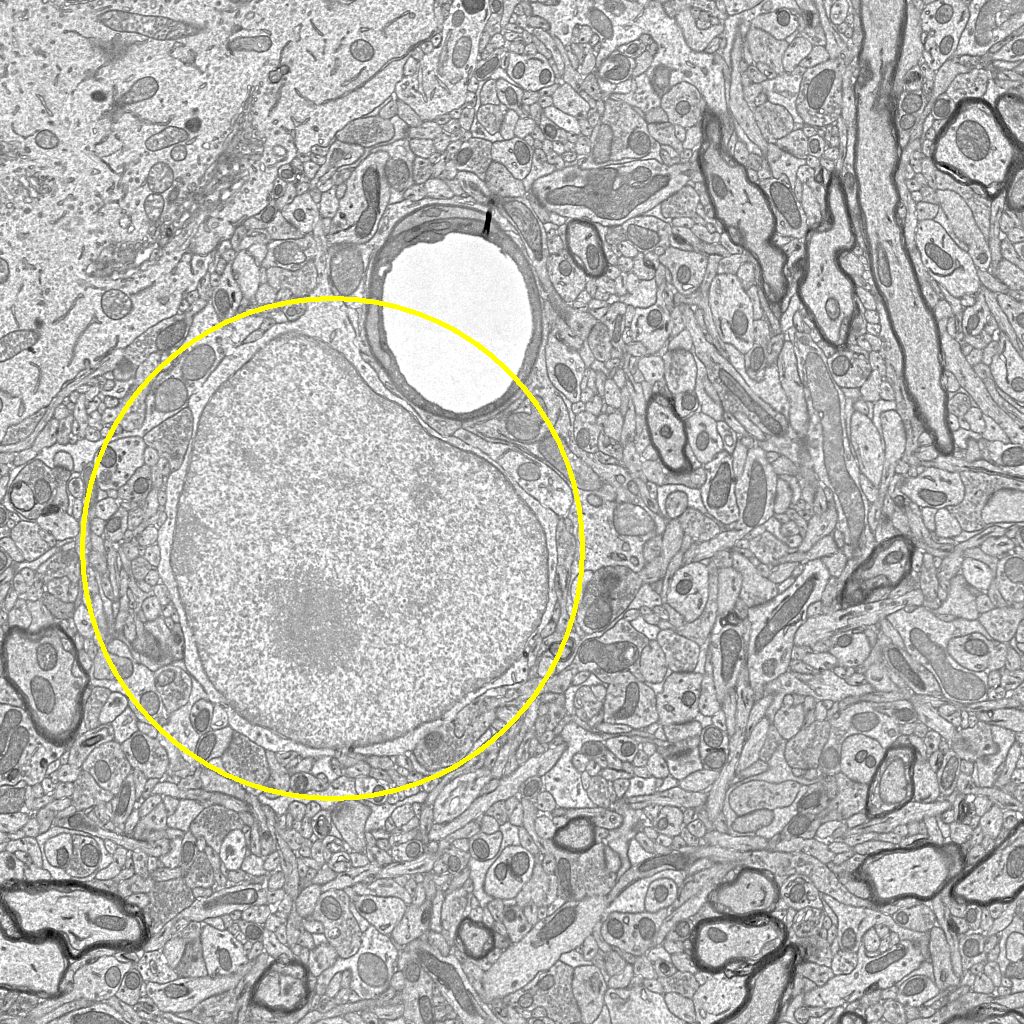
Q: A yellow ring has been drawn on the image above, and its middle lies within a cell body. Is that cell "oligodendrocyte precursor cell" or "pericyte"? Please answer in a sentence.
The ring's middle lies in the cell body of an oligodendrocyte precursor cell.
